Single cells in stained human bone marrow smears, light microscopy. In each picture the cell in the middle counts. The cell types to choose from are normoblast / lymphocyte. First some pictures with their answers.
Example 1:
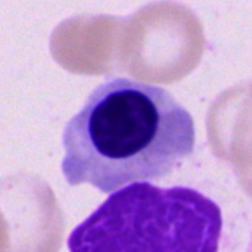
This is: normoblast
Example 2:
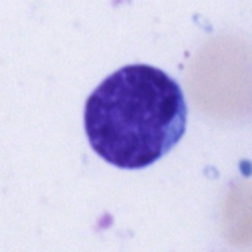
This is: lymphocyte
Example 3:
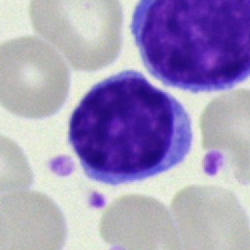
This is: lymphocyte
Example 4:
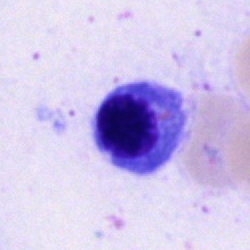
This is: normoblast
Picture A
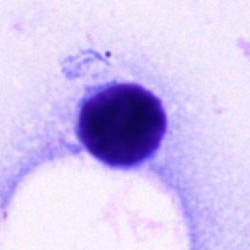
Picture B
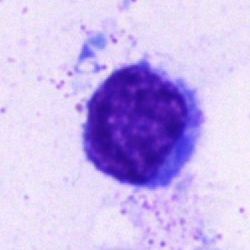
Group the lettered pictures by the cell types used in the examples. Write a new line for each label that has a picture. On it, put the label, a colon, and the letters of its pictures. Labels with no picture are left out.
lymphocyte: A, B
